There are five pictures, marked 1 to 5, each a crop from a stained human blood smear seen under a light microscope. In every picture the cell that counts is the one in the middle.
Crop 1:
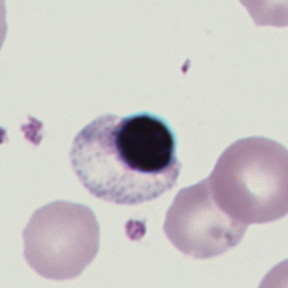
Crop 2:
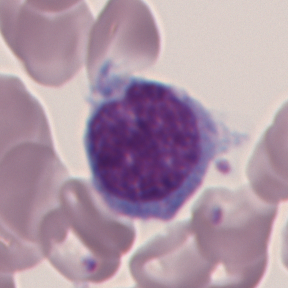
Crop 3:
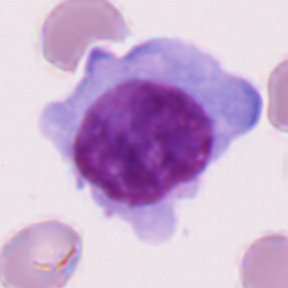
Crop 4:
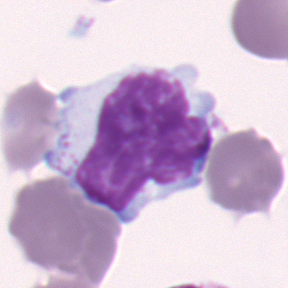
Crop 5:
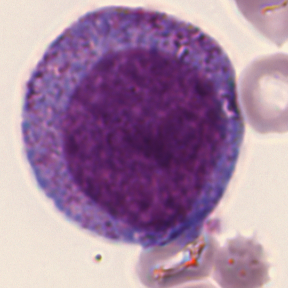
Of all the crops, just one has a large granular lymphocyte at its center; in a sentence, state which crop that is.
In the set of crops, crop 4 is the one that contains a large granular lymphocyte.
